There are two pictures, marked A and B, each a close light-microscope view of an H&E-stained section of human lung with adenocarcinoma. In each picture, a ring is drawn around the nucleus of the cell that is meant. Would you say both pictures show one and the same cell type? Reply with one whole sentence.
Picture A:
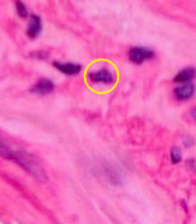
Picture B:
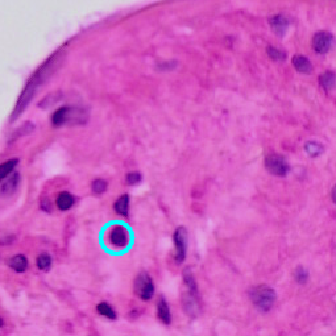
Yes, both are “smooth muscle cells or pericytes”.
